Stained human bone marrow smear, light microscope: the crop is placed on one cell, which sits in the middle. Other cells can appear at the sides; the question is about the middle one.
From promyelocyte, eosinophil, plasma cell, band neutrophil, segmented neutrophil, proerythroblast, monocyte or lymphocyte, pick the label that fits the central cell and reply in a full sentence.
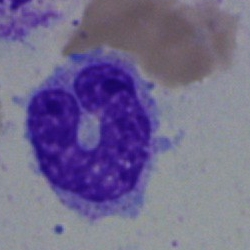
Among the cells in view, the one in the middle is a monocyte.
